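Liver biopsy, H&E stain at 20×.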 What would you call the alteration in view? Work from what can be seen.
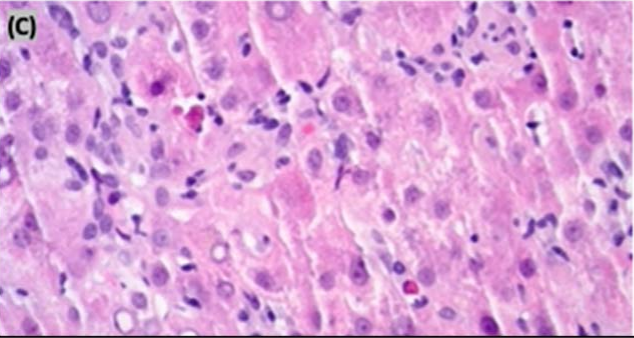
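Lobular lymphocytic inflammation. Small cells with dark, often elongated or round nuclei lie between plates of large pink liver cells. No connective tissue band is present; the cells sit within the parenchyma.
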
